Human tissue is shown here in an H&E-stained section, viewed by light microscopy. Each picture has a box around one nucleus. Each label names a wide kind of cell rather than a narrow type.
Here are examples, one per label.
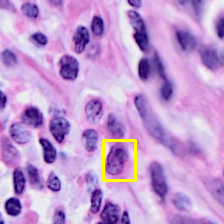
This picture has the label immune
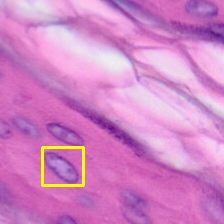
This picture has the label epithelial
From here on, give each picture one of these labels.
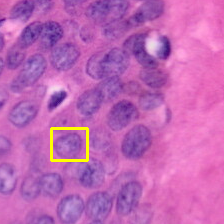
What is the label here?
epithelial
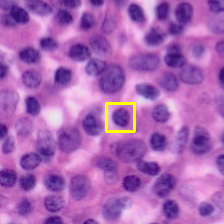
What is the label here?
immune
